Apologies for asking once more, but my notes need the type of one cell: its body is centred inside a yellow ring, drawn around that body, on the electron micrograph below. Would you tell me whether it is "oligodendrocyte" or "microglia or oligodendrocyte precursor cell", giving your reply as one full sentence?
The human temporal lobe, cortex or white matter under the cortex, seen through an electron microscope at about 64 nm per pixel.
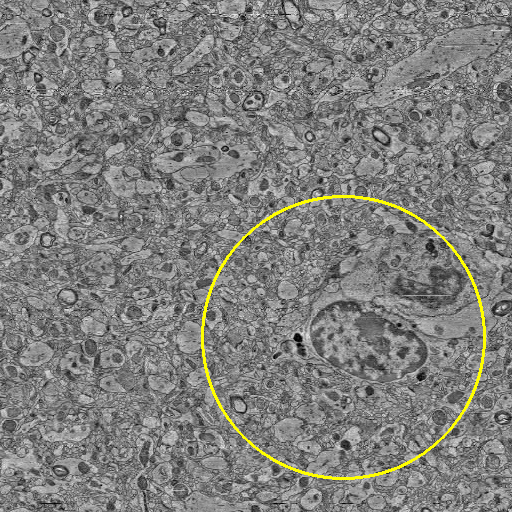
The cell that the yellow ring is centred on is a microglial cell or oligodendrocyte precursor cell in this micrograph.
